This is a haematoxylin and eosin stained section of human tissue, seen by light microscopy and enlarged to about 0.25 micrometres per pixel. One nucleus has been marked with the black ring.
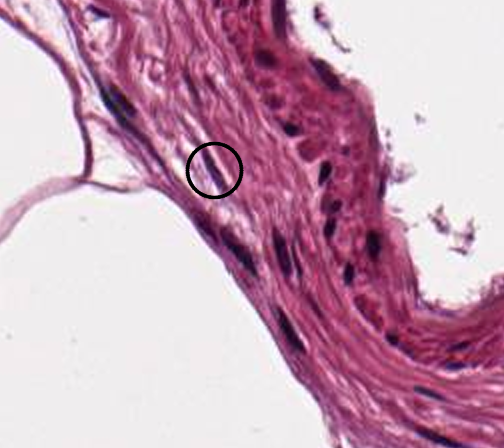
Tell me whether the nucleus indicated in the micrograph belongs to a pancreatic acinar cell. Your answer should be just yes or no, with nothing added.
no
